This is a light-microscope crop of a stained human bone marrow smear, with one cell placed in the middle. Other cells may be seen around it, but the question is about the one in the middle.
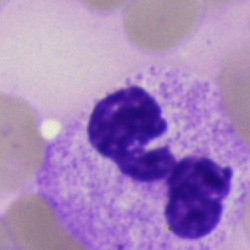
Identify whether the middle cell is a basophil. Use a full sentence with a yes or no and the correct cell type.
No, it is a segmented neutrophil and not a basophil that occupies the middle of the crop.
